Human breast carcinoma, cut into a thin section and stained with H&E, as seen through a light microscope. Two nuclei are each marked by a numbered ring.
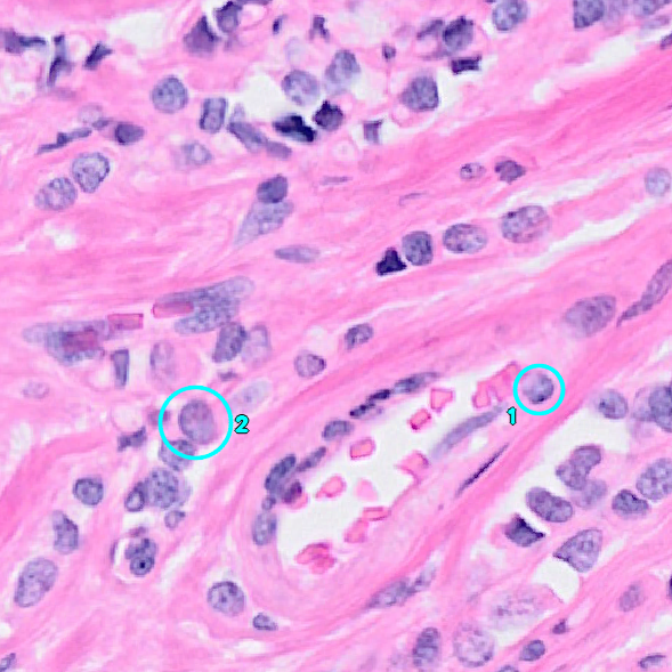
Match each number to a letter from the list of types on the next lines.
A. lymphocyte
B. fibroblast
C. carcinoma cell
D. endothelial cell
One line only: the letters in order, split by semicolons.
D; C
